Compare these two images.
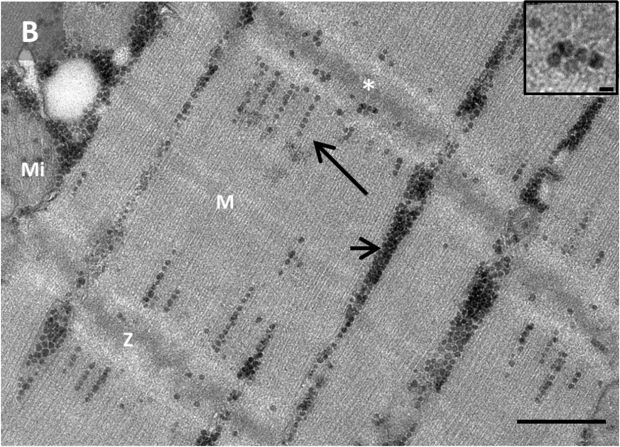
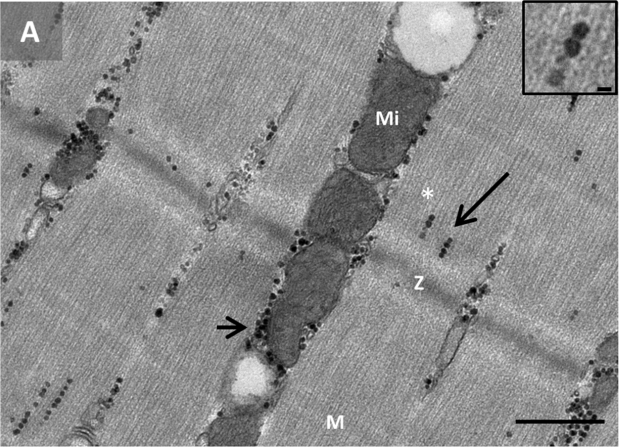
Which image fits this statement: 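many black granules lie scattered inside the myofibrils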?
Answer: The first image.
